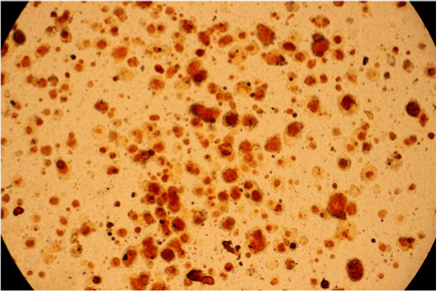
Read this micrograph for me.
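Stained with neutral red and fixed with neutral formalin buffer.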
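The stained cells form scattered round dots and larger rounded clusters of different sizes across a pale background. Some clusters are dense and deeply coloured, while many smaller dots are fainter. The clusters are spread through the whole field, thicker toward the middle and lower part.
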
